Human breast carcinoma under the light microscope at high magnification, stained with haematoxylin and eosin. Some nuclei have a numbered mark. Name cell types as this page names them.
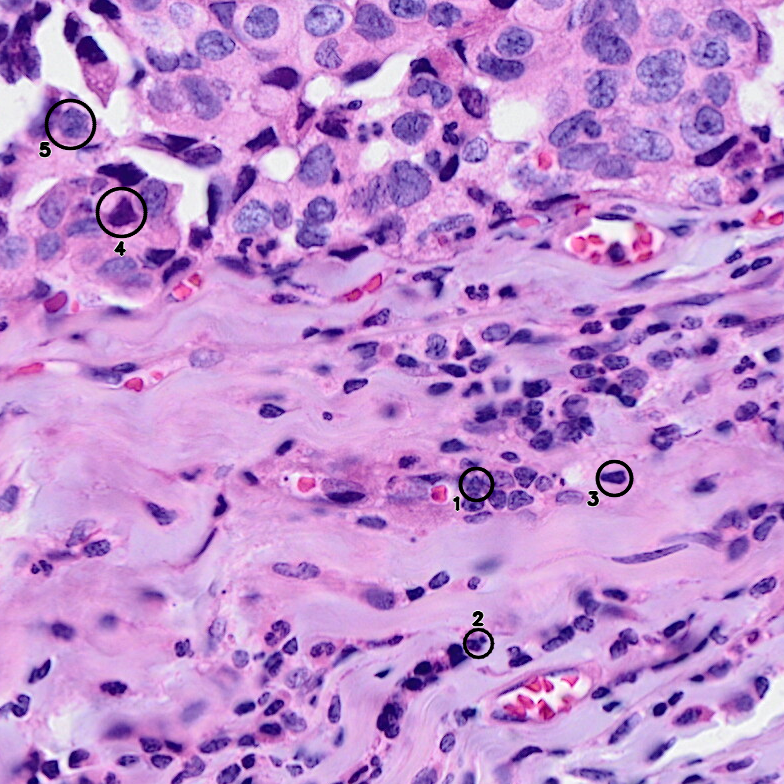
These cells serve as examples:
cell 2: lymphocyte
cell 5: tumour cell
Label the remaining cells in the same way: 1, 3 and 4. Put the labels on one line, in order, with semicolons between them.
lymphocyte; lymphocyte; tumour cell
